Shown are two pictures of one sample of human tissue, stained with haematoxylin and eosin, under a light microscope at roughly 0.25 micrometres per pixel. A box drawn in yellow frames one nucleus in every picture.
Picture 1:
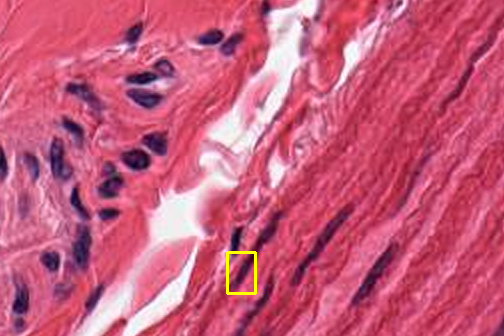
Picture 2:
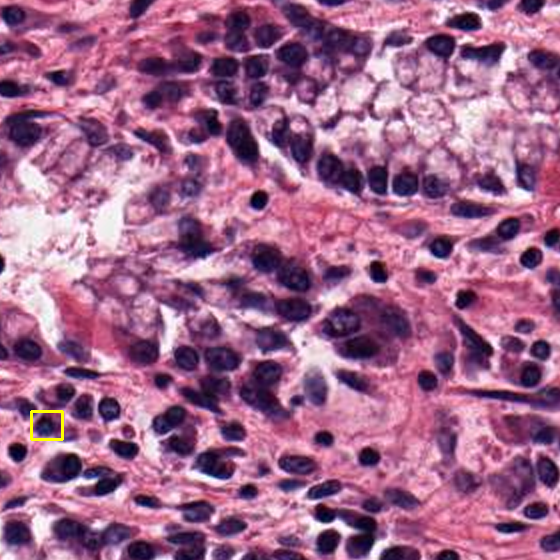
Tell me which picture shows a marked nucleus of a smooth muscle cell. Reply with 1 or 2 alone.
1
